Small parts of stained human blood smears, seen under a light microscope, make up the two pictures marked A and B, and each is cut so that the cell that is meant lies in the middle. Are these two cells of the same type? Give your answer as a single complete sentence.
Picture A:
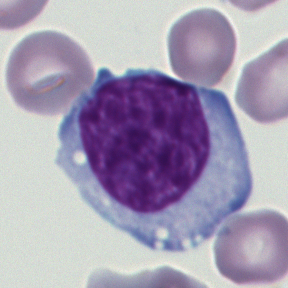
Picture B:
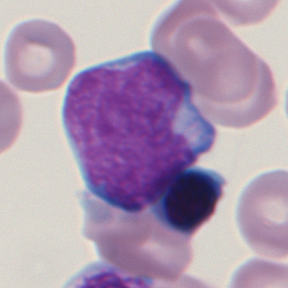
Yes, both are myeloblasts.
